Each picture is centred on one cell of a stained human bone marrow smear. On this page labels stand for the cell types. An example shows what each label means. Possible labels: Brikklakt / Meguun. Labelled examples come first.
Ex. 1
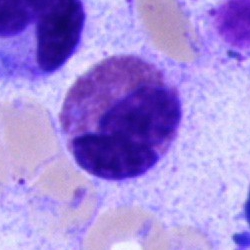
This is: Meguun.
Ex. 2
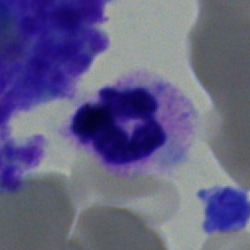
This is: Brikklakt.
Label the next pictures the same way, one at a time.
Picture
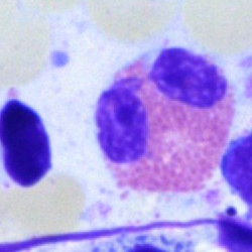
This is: Meguun.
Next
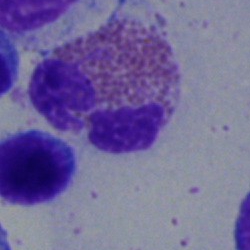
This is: Meguun.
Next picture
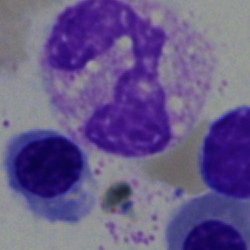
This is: Brikklakt.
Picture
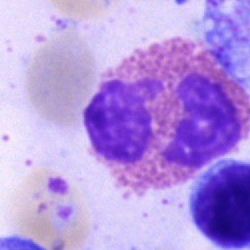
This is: Meguun.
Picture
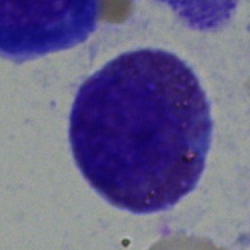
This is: Meguun.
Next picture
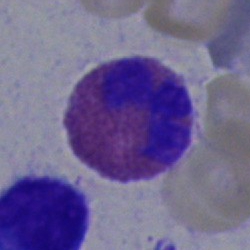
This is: Meguun.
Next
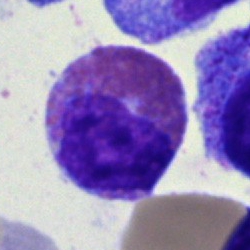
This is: Meguun.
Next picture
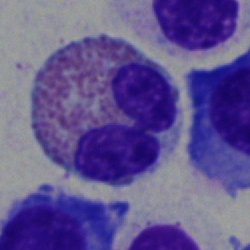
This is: Meguun.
